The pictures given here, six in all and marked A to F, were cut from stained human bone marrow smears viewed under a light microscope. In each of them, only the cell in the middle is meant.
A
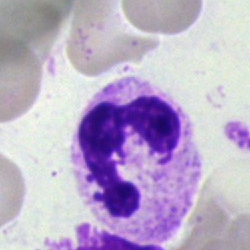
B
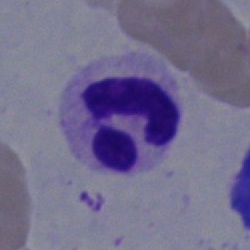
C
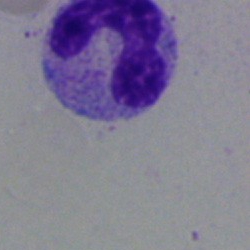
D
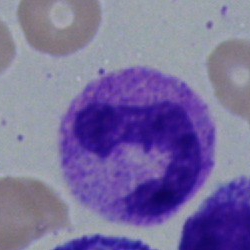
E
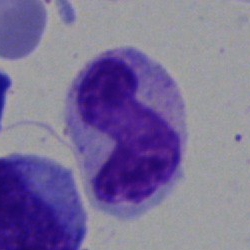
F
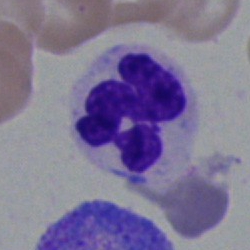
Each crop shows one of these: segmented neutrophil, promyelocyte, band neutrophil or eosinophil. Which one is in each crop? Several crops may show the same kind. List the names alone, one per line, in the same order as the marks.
segmented neutrophil
segmented neutrophil
segmented neutrophil
band neutrophil
band neutrophil
segmented neutrophil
